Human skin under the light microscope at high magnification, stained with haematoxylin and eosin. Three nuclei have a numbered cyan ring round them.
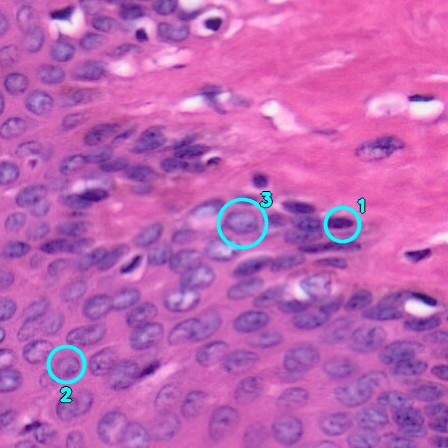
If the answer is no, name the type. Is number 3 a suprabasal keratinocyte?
No, it is a basal keratinocyte.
